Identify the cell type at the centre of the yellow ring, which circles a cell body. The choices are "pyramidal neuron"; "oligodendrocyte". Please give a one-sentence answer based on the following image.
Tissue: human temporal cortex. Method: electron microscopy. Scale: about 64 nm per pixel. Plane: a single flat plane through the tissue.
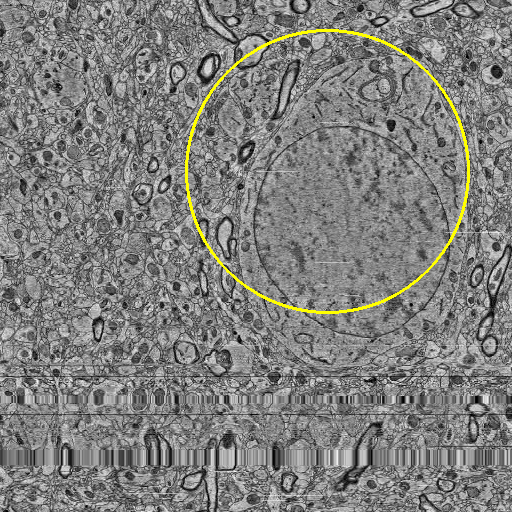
The cell marked by the ring is a pyramidal neuron.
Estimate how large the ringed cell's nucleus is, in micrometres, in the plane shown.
The nucleus of the ringed cell is approximately 14 by 12 micrometres in this plane.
